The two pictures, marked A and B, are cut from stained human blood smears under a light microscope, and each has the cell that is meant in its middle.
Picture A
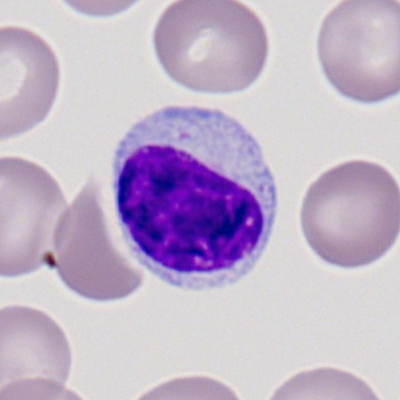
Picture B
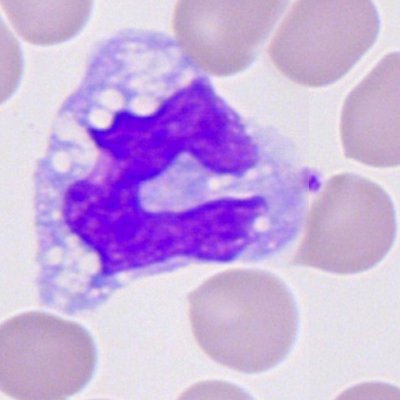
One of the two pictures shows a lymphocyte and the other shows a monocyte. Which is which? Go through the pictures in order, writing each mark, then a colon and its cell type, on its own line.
A: lymphocyte
B: monocyte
